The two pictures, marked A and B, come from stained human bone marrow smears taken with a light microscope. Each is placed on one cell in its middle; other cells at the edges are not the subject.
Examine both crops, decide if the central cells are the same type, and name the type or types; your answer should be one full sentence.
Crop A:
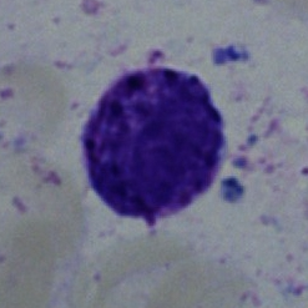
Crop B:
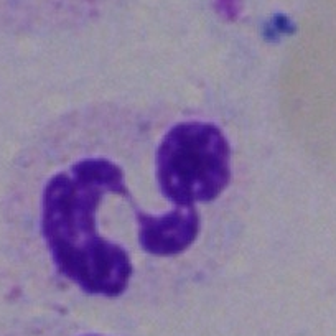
No, a basophil is in crop A, and a neutrophil is in crop B.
